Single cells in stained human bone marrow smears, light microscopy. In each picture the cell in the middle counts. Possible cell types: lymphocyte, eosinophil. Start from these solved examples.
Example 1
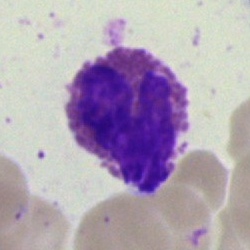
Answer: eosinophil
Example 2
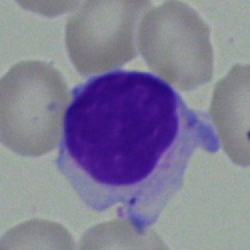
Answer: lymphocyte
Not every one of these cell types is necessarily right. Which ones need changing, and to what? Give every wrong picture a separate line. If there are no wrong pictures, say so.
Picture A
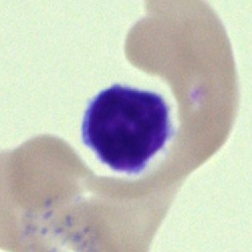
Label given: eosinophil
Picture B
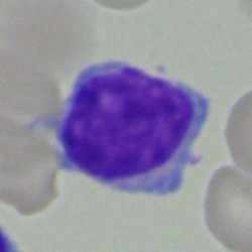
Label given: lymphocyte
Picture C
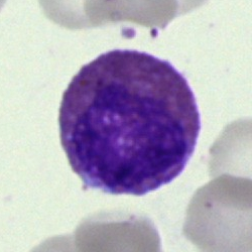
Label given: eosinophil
Wrong: A (eosinophil); correct: lymphocyte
